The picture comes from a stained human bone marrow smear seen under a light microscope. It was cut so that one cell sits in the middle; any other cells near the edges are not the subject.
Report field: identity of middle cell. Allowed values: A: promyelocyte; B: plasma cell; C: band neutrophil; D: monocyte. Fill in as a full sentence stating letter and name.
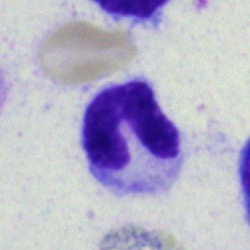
Option C is correct in naming the middle cell a band neutrophil.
